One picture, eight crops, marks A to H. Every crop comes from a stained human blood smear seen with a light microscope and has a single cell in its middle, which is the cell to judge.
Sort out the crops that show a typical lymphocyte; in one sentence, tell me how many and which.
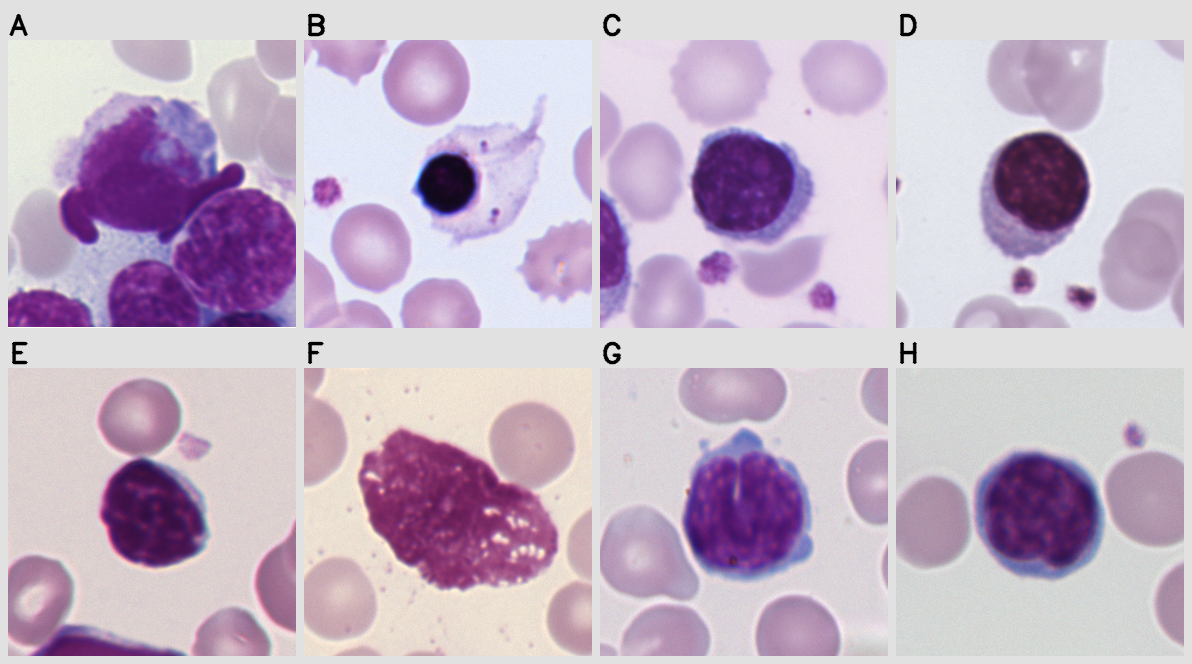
In the series, four crops show typical lymphocytes, these being C, D, E and H.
